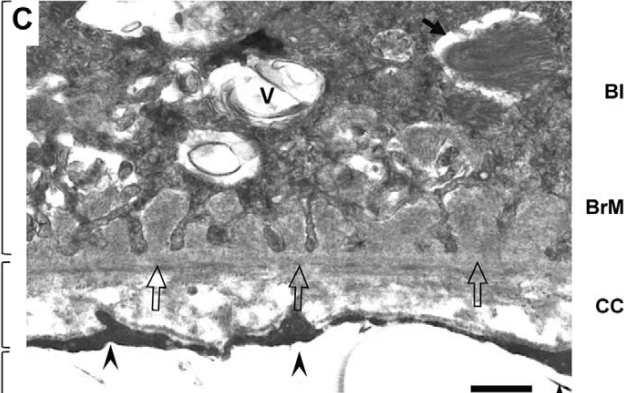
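The base of the retinal pigment epithelium shows vacuoles with membrane whorls above, and the usual fine basal infoldings give way to a continuous dense band along the cell base. Below lies a loose, pale layer bordered by the dark capillary lining. The band is a continuous basal deposit replacing the basal infoldings.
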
